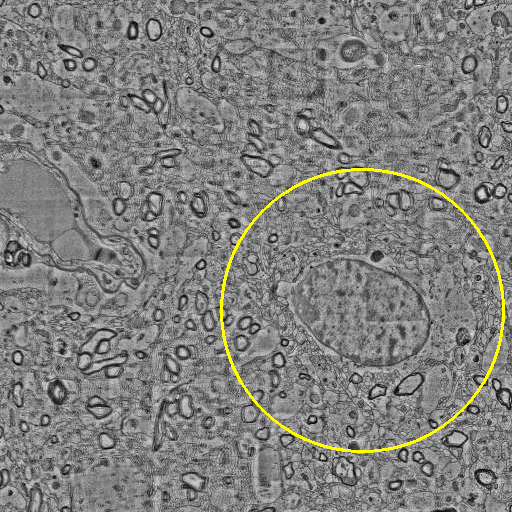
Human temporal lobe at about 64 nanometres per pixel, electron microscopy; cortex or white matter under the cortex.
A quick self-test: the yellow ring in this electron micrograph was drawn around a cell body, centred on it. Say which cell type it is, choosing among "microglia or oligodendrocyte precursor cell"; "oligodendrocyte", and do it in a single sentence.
The yellow-ringed cell is a microglial cell or oligodendrocyte precursor cell.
